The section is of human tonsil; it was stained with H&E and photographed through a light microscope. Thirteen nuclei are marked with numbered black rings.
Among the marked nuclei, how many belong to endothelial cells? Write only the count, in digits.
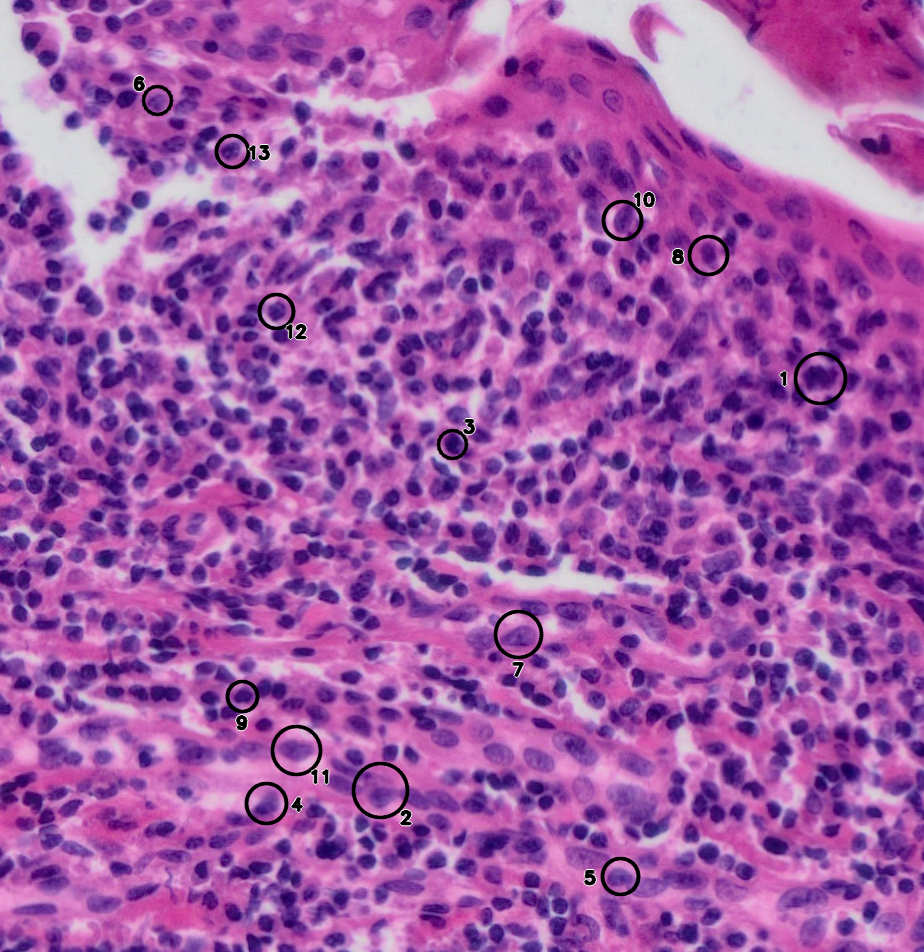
5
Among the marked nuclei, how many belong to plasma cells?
5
